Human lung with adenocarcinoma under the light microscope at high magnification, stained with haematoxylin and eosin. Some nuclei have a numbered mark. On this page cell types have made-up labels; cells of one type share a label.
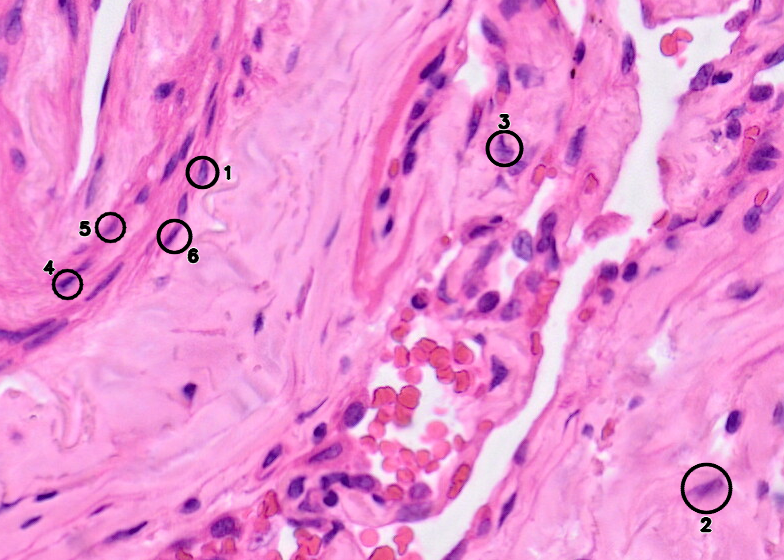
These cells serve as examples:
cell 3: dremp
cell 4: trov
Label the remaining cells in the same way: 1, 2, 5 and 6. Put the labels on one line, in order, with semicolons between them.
trov; dremp; trov; trov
